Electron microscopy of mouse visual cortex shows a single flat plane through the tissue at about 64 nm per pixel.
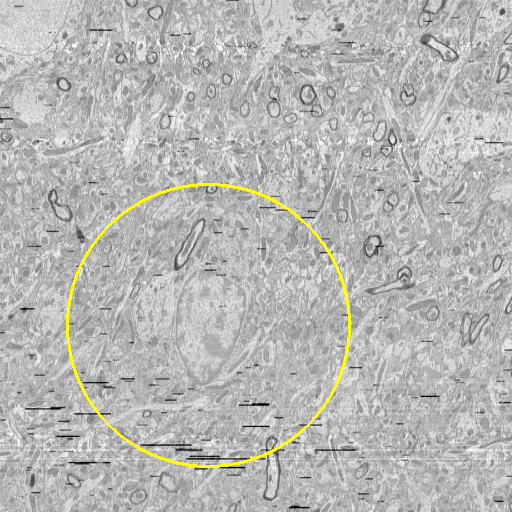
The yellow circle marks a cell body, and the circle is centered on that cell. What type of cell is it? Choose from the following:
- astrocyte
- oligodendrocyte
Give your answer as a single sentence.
This cell body belongs to an oligodendrocyte.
